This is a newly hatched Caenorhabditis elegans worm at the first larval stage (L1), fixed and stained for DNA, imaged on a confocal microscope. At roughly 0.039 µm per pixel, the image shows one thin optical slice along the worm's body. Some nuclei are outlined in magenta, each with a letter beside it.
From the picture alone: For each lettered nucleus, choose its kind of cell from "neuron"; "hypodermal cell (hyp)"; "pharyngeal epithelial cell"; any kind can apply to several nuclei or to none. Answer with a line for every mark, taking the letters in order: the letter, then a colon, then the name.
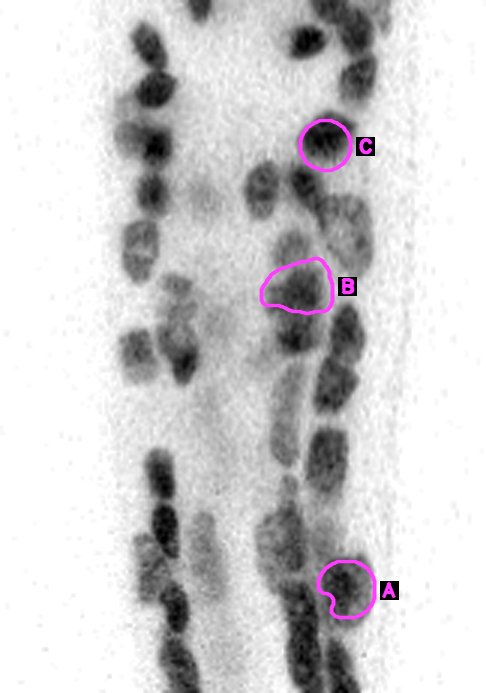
A: hypodermal cell (hyp)
B: neuron
C: neuron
